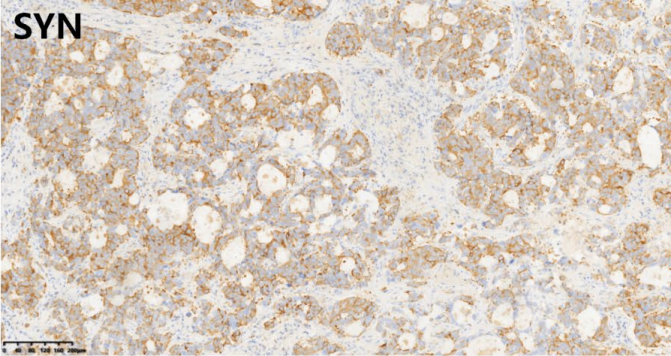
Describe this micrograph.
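Large rounded nests of tumour cells are set in pale, loose fibrous stroma. The tumour cells show diffuse light brown granular staining of the cytoplasm and cell borders, while their nuclei remain blue and the stroma is unstained. Small round clear spaces lie scattered inside the nests.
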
